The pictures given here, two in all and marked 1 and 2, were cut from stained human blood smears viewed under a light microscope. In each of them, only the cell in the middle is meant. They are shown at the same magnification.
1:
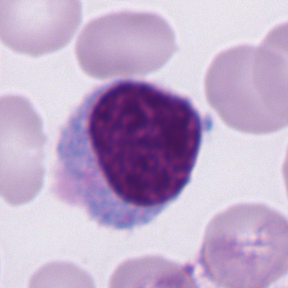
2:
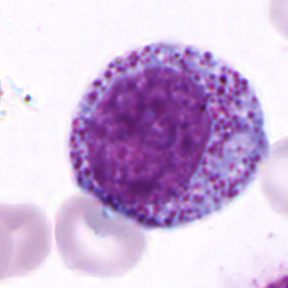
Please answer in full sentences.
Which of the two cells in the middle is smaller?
The cell in crop 1 is smaller; the one in crop 2 has about 1.5 times its area.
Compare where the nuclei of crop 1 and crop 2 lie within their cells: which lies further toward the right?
In crop 1 the nucleus is shifted more toward the right.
